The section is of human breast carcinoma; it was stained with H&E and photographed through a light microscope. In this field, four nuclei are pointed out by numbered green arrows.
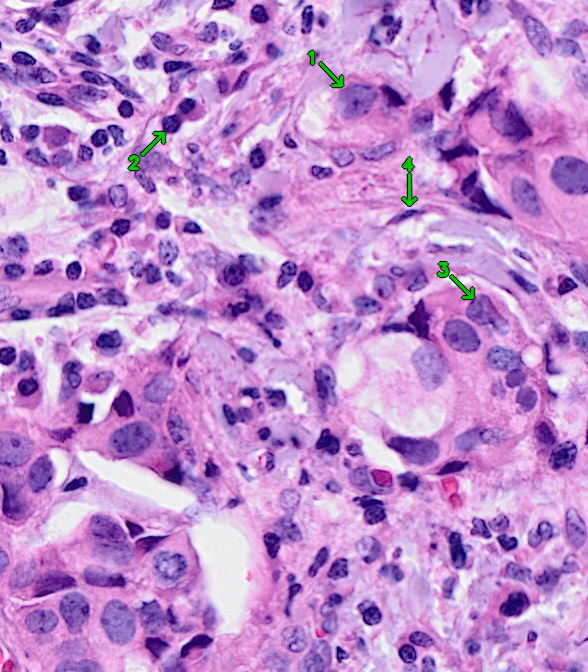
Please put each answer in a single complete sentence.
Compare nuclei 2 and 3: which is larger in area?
Nucleus 3 covers more area, about 3 times as much as nucleus 2.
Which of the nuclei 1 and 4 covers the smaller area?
It is nucleus 4; nucleus 1 has about 3 times its area.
